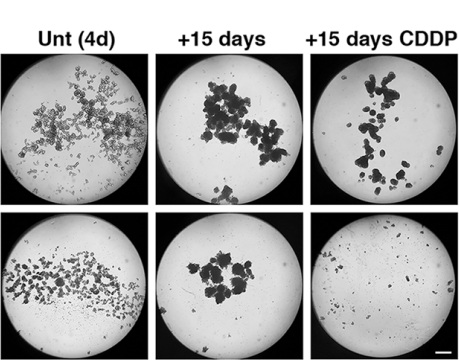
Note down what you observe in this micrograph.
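Round fields show tumorspheres: free-floating, rounded clusters of cells with no flat adherent layer. In most fields the clusters are dense, dark and compact, and many of them clump together into large aggregates. One field holds only a few small, scattered fragments.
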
